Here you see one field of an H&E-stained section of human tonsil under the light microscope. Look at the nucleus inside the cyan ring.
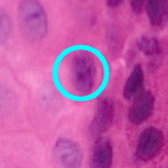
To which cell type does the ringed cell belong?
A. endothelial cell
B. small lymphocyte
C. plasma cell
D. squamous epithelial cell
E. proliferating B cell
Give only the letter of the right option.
D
